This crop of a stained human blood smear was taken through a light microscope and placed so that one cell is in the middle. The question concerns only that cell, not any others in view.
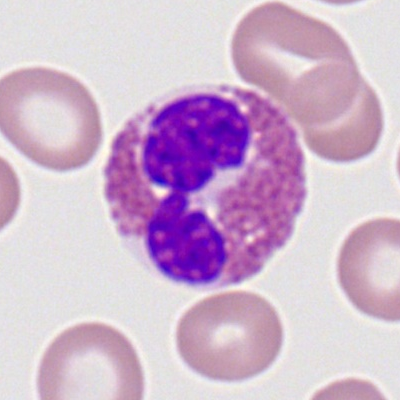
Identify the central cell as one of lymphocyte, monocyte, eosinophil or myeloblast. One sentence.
Framed in the middle of the crop is an eosinophil.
